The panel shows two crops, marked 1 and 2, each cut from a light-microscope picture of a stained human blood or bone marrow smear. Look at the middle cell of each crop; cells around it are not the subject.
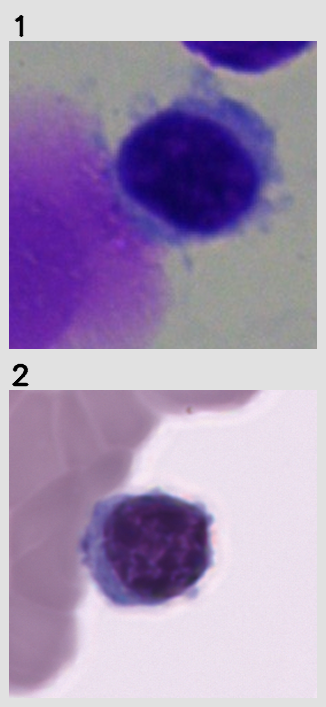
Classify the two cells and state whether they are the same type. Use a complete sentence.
No, crop 1 and crop 2 show a hairy cell and a plasma cell respectively.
